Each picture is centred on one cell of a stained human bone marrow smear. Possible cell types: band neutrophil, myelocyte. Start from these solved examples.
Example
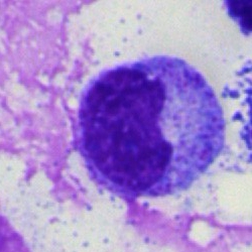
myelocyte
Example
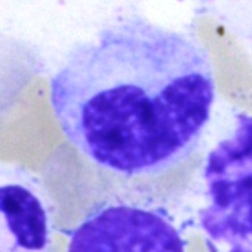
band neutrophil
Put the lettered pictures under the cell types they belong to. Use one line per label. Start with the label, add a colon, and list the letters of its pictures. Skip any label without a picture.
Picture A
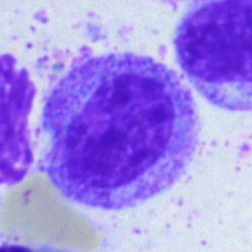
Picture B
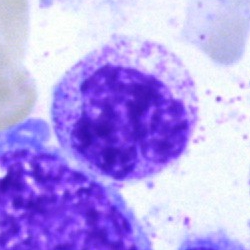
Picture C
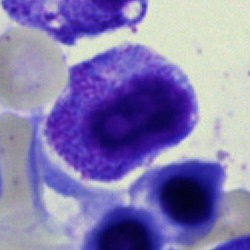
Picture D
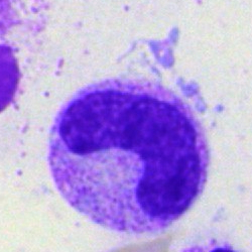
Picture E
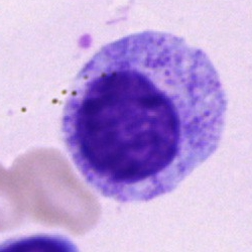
band neutrophil: D
myelocyte: A, B, C, E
